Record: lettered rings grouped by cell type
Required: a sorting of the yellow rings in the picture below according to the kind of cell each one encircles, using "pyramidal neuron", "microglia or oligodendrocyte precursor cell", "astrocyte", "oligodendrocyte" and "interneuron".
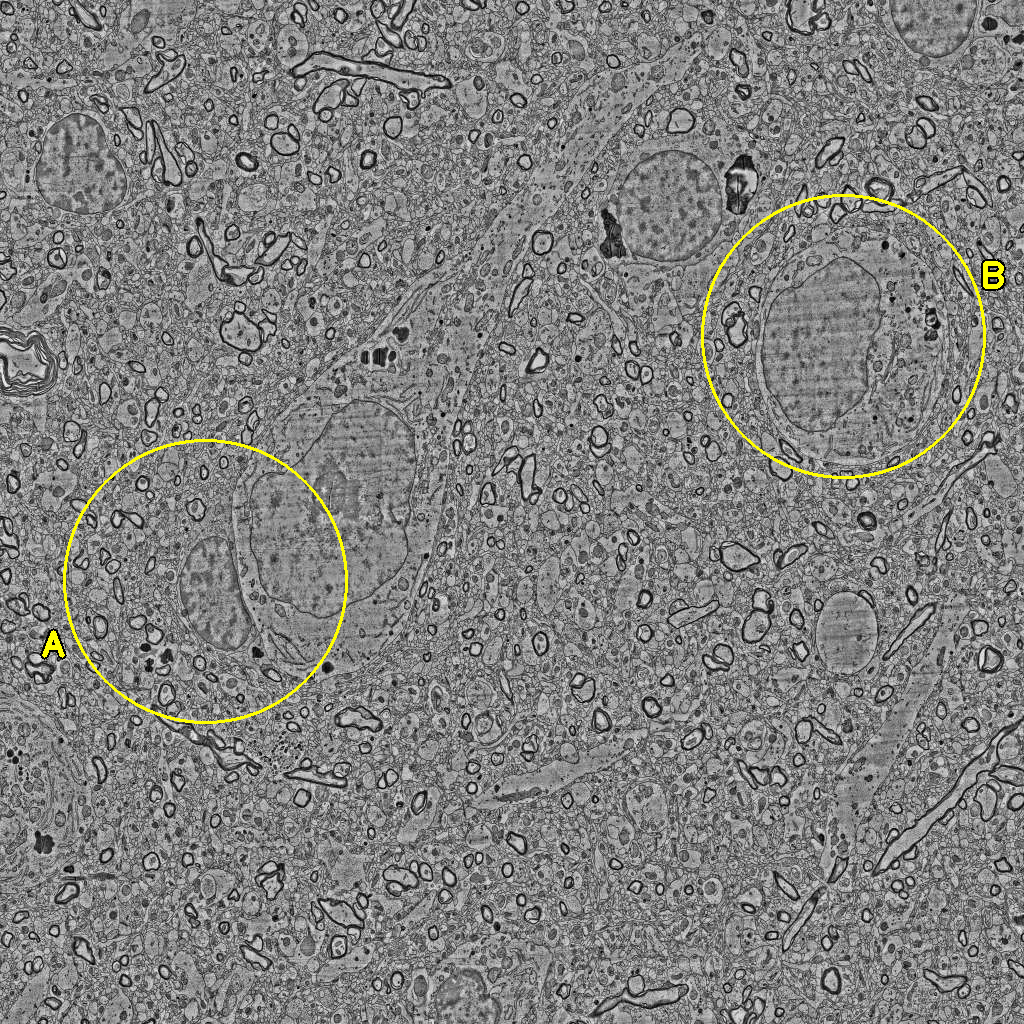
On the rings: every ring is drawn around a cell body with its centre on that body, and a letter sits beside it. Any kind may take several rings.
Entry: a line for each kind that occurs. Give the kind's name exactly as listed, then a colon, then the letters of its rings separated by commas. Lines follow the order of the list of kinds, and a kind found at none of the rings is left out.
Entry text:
pyramidal neuron: B
oligodendrocyte: A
